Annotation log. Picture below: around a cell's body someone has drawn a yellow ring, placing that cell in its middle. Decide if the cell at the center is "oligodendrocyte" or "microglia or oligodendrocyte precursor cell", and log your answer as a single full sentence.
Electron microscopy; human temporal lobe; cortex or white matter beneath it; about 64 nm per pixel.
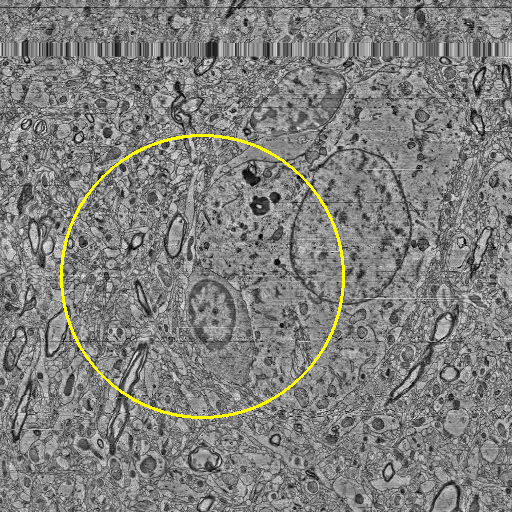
My entry records an oligodendrocyte as the cell sitting at the center of the yellow ring.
